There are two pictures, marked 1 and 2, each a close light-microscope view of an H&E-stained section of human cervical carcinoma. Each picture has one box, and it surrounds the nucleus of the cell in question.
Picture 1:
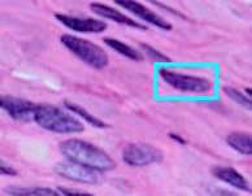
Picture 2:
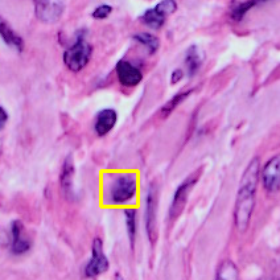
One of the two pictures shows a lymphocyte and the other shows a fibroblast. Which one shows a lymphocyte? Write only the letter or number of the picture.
2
